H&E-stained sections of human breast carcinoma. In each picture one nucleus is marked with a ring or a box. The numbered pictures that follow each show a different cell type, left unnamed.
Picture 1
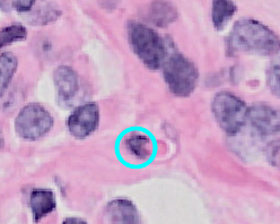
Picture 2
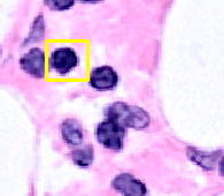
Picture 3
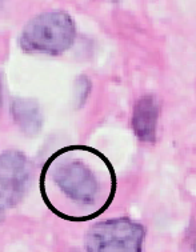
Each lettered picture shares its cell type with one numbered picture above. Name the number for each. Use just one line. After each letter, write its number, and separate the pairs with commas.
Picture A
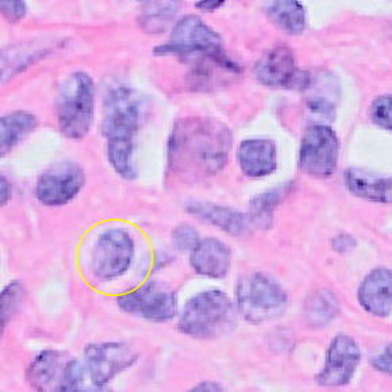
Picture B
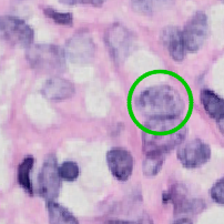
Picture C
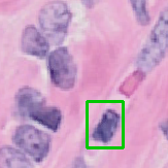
A 3, B 3, C 2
